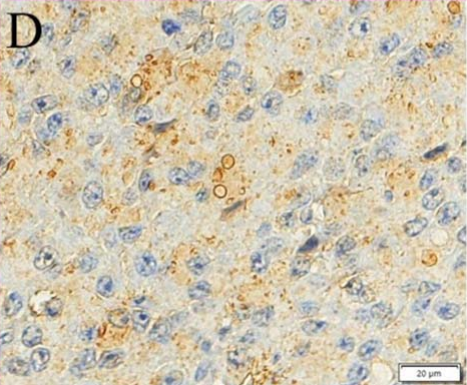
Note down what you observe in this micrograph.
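Tumor cells in a solid sheet show blue, round to oval nuclei with pale cytoplasm around them. Some cells show only faint brown dusting. A few small round brown-rimmed bodies are also seen between cells. Cell borders are indistinct, and the cells lie packed closely together without forming glands.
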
